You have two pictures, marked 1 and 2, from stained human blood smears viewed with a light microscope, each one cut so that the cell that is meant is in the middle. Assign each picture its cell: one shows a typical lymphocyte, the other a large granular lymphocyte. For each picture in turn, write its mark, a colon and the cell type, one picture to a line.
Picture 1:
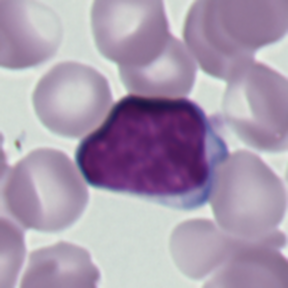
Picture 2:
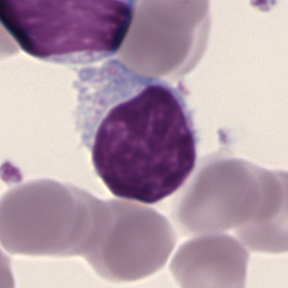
1: typical lymphocyte
2: large granular lymphocyte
